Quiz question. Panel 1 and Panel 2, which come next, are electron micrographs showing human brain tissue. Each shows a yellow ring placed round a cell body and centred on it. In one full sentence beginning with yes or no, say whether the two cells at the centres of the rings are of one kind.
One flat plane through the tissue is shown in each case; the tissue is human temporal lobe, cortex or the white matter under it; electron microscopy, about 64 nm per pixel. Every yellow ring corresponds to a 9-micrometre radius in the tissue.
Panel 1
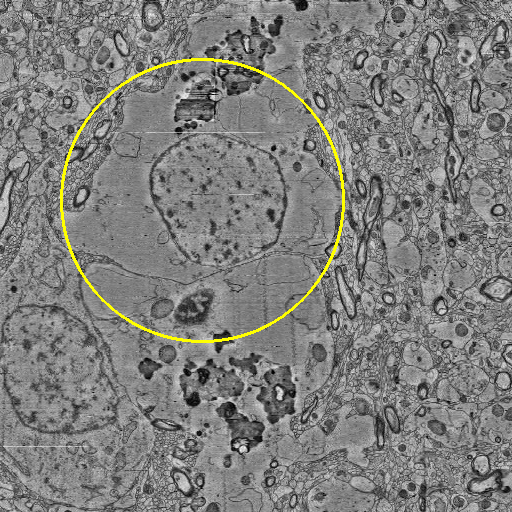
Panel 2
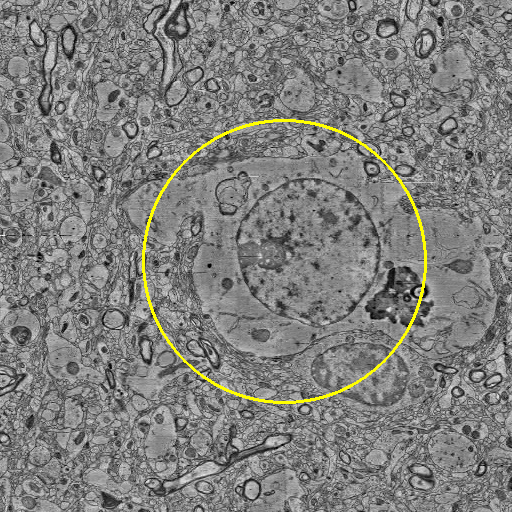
Yes, Panel 1 and Panel 2 show one kind of cell at the centre of the ring.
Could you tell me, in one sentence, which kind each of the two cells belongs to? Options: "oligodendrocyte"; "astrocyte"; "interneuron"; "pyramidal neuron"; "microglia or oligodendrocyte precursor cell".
Each one of the two ringed cells is an astrocyte.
